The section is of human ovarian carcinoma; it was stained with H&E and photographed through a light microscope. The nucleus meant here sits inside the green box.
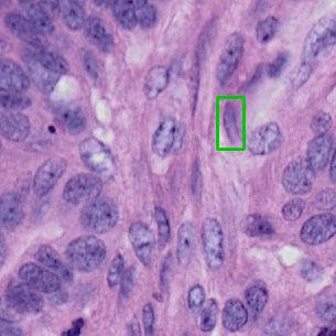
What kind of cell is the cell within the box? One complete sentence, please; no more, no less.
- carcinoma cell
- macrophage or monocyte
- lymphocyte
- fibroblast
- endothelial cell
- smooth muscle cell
Among the cells in this section, the cell within the box is a fibroblast.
